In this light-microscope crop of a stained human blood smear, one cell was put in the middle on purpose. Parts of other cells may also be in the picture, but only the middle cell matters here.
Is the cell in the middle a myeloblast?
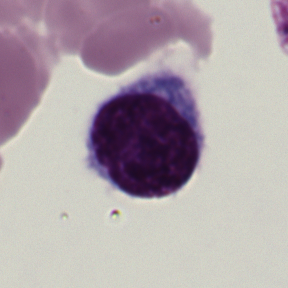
no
